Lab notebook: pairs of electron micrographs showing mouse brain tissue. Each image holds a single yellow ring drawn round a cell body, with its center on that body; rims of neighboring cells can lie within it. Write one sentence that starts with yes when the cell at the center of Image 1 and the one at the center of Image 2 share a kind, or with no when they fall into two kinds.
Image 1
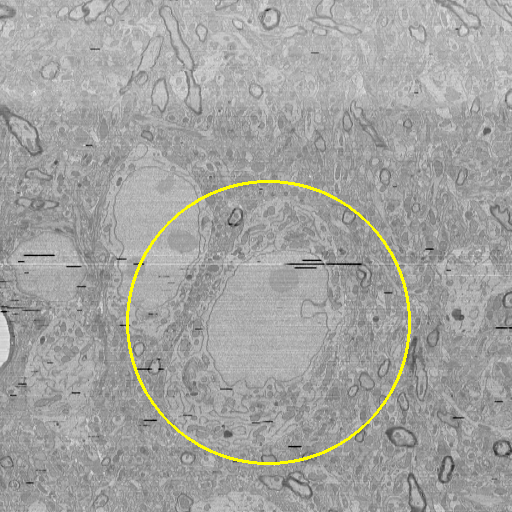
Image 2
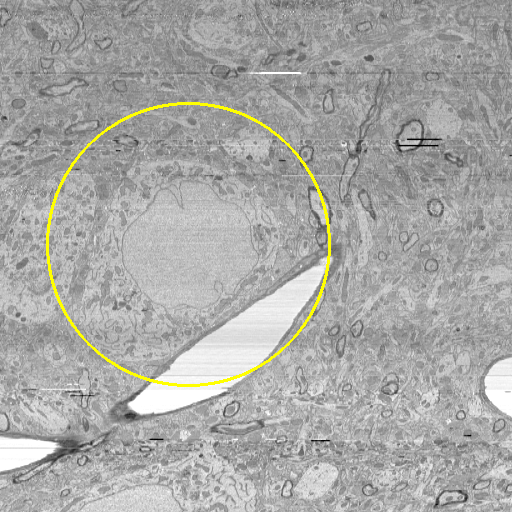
Yes, the centered cell in Image 1 and the centered cell in Image 2 are of one kind.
